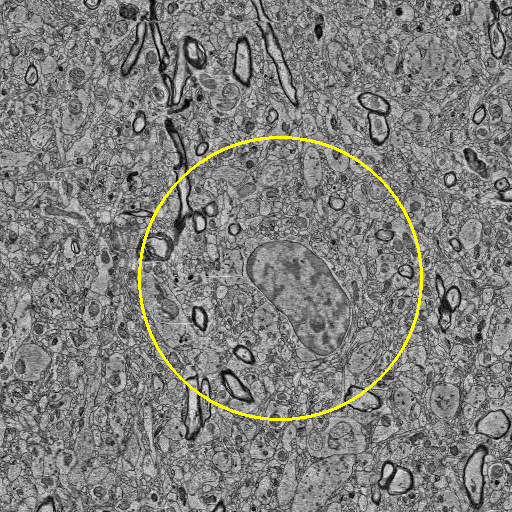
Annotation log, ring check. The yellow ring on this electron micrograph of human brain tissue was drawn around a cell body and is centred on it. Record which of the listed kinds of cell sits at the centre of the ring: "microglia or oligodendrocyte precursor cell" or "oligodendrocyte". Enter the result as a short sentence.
The cell at the centre of the ring is a microglial cell or oligodendrocyte precursor cell.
